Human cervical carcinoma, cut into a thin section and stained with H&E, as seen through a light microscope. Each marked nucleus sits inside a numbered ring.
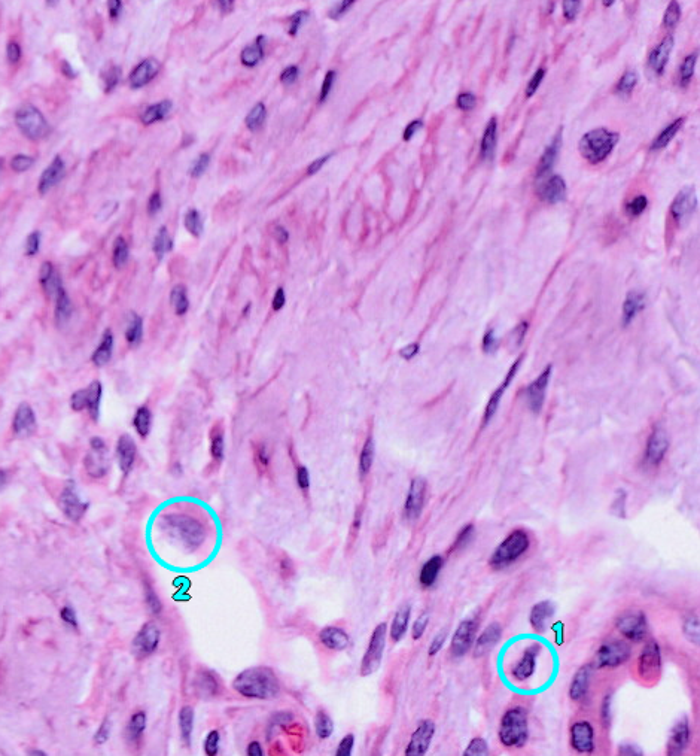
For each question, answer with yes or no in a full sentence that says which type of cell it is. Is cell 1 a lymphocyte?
Yes, the cell that bears the number 1 is a lymphocyte.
